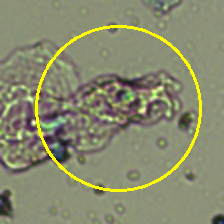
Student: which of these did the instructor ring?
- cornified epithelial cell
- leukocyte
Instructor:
The cell I ringed is a cornified epithelial cell.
